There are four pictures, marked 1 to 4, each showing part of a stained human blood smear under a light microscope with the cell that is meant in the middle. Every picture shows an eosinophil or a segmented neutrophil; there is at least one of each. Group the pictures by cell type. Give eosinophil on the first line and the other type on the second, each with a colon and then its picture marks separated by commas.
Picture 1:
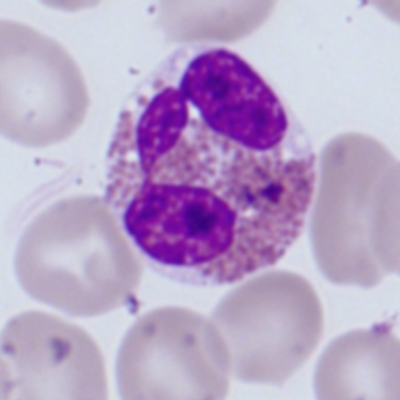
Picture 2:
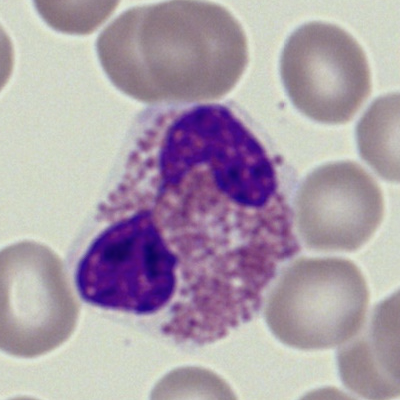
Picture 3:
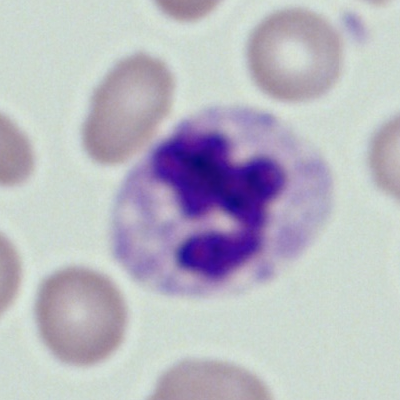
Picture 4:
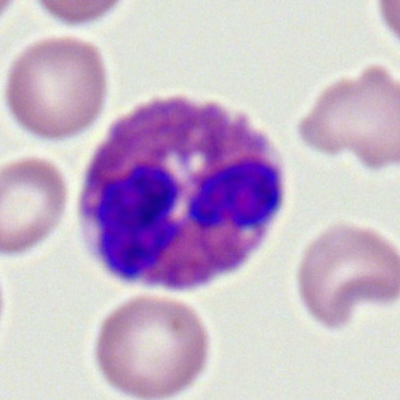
eosinophil: 1, 2, 4
segmented neutrophil: 3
